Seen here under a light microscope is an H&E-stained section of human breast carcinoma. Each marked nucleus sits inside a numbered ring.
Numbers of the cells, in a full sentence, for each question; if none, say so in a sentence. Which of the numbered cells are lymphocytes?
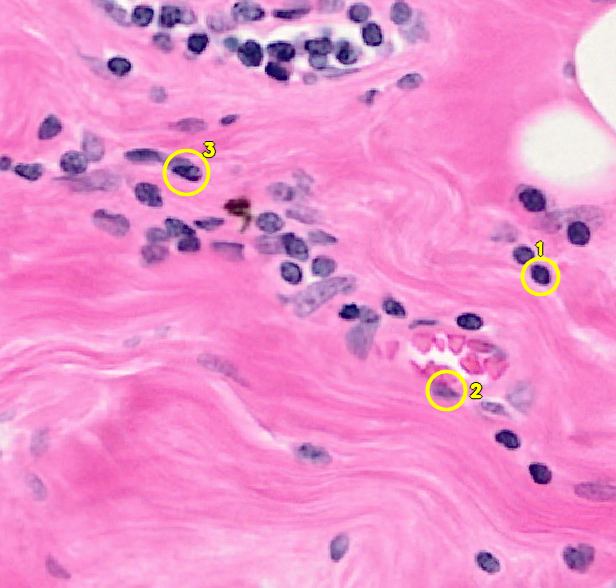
The numbers 1 and 3 refer to cells that are lymphocytes.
